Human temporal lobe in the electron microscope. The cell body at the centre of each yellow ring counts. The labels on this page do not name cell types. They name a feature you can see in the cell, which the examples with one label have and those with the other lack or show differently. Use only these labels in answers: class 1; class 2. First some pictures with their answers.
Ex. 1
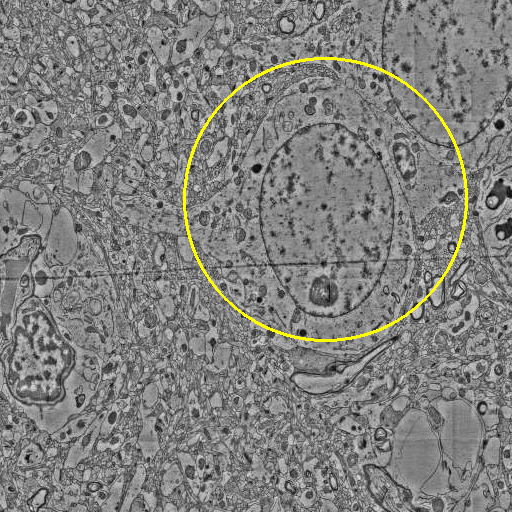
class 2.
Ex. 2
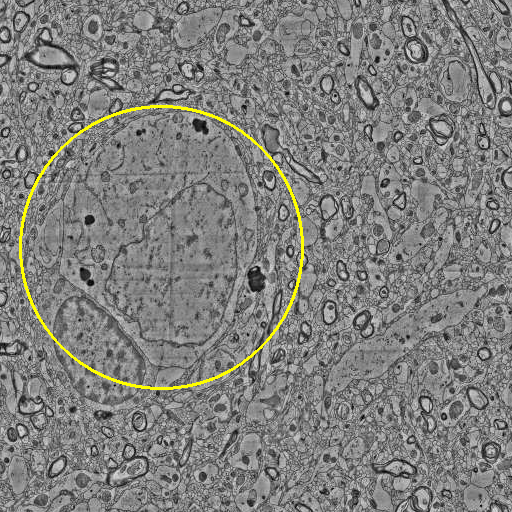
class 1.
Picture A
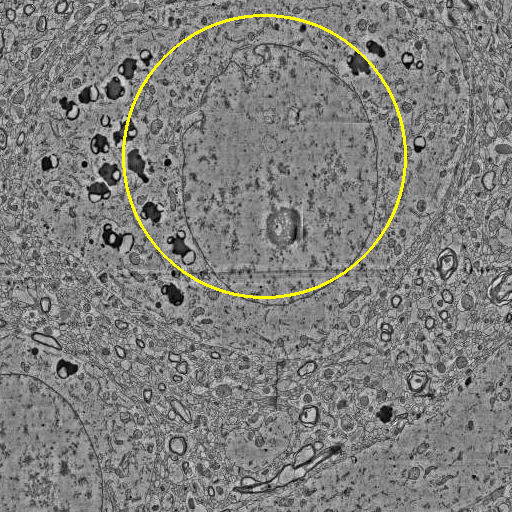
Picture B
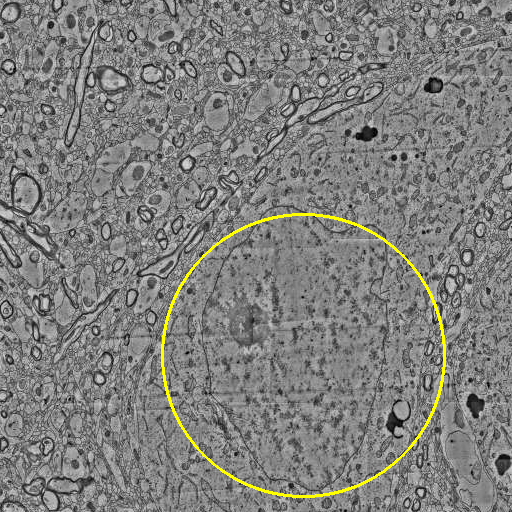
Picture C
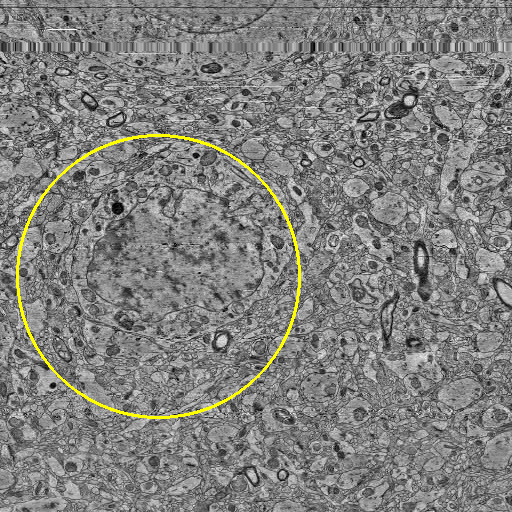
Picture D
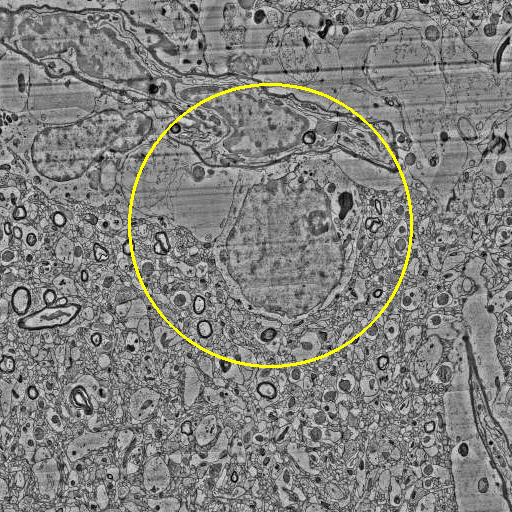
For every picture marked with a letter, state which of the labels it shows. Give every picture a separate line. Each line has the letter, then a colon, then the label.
A: class 2.
B: class 2.
C: class 1.
D: class 2.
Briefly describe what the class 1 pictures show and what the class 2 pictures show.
class 1, no nucleolus seen; class 2, nucleolus seen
